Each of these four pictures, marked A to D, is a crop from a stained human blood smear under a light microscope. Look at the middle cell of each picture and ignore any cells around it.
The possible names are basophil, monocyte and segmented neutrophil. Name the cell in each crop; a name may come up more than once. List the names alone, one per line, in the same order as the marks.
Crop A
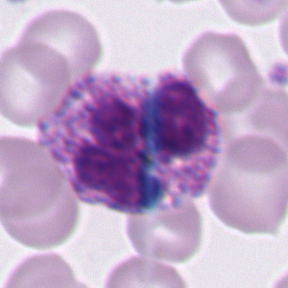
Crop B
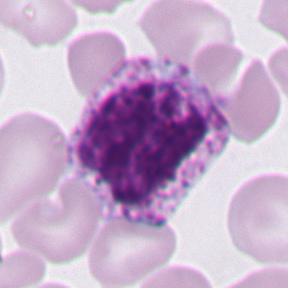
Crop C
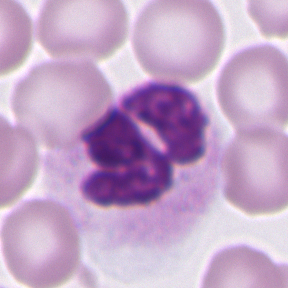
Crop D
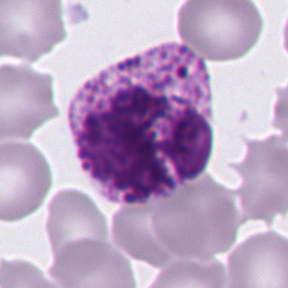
basophil
basophil
segmented neutrophil
basophil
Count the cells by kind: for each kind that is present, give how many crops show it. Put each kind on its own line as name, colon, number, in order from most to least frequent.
basophil: 3
segmented neutrophil: 1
